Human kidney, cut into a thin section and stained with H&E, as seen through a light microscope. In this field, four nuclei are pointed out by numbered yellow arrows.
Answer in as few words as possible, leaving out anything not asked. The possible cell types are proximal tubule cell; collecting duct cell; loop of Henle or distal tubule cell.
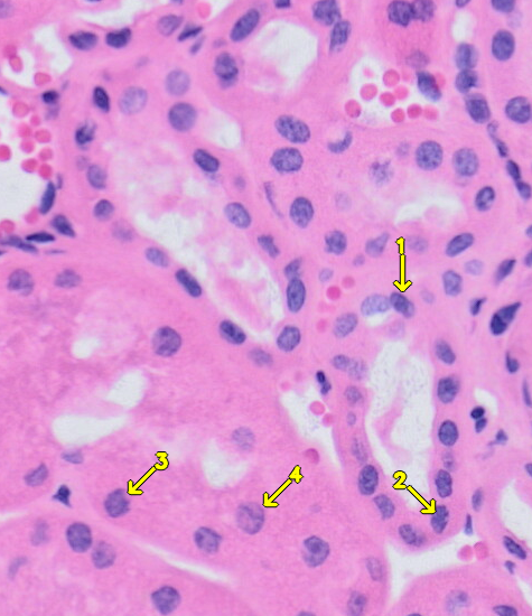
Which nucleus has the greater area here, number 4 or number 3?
4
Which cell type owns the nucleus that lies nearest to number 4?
proximal tubule cell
